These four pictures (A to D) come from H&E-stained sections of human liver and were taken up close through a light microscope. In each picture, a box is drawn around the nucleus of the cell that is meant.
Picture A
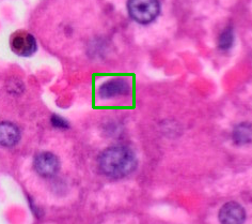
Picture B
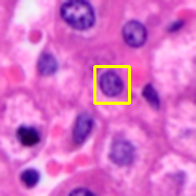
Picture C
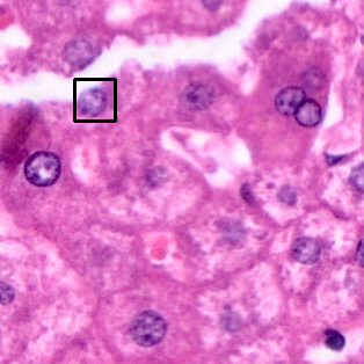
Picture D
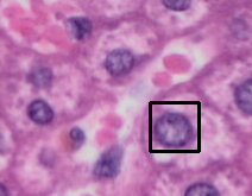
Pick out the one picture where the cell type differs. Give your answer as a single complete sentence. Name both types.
Unlike the rest, which show hepatocytes, picture A shows a Kupffer cell.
